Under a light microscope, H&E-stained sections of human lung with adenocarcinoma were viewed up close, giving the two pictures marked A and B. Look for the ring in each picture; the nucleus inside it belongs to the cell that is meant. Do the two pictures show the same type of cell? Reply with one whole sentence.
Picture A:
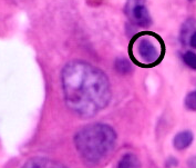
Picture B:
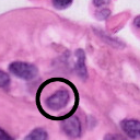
Yes; the cells in both pictures are lymphocytes.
